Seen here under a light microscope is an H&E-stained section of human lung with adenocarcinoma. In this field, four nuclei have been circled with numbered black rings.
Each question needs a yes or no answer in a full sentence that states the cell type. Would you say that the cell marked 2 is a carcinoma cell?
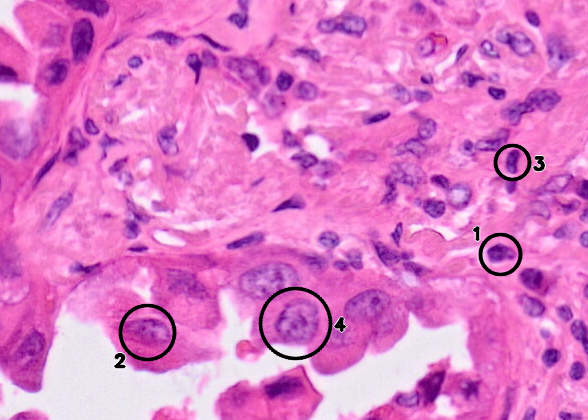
Yes, the cell to which number 2 refers is a carcinoma cell.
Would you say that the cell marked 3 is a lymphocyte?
Yes, cell number 3 in this section is a lymphocyte.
